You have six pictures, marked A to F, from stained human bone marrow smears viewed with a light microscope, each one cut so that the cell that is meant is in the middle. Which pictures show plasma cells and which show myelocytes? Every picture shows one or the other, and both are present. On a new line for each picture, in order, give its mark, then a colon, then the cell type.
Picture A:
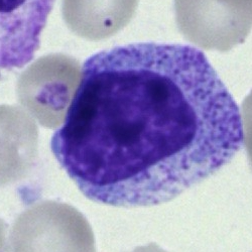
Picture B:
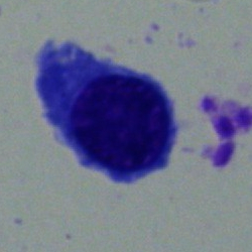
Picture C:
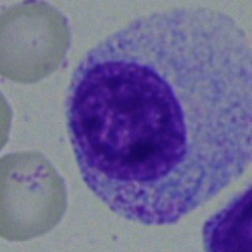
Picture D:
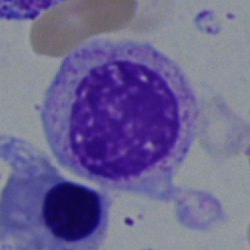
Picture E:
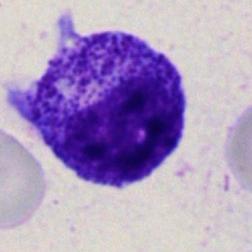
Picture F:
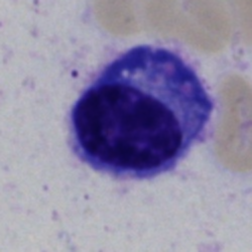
A: myelocyte
B: plasma cell
C: myelocyte
D: myelocyte
E: myelocyte
F: plasma cell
